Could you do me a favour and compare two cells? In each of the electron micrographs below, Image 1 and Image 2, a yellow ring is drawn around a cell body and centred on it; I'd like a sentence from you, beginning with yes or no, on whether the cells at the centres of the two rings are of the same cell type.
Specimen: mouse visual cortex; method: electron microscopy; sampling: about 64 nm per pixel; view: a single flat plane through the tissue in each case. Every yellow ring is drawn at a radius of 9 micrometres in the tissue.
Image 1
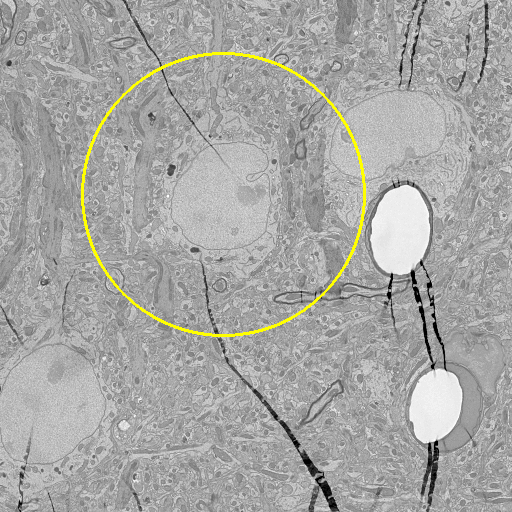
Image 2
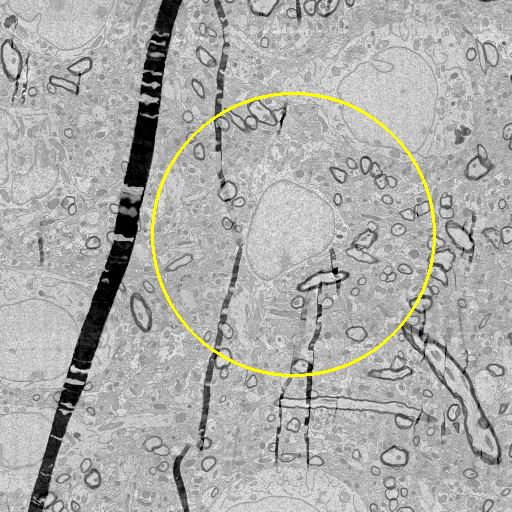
No, the two cells are of two cell types.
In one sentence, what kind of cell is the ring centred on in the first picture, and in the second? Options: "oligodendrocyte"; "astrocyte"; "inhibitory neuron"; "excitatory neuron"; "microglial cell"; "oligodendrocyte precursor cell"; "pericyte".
The cell at the centre of the second ring is an astrocyte; the first ring's cell is an excitatory neuron.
